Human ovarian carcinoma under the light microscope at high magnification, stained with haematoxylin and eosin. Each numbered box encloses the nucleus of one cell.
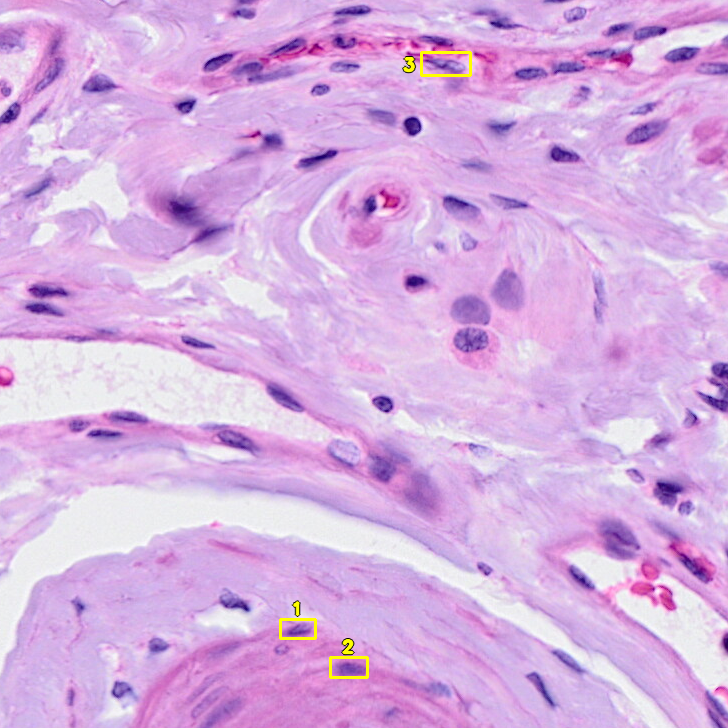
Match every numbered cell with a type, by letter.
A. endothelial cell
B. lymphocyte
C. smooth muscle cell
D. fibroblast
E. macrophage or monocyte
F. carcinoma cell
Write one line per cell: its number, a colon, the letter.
1: C
2: C
3: A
